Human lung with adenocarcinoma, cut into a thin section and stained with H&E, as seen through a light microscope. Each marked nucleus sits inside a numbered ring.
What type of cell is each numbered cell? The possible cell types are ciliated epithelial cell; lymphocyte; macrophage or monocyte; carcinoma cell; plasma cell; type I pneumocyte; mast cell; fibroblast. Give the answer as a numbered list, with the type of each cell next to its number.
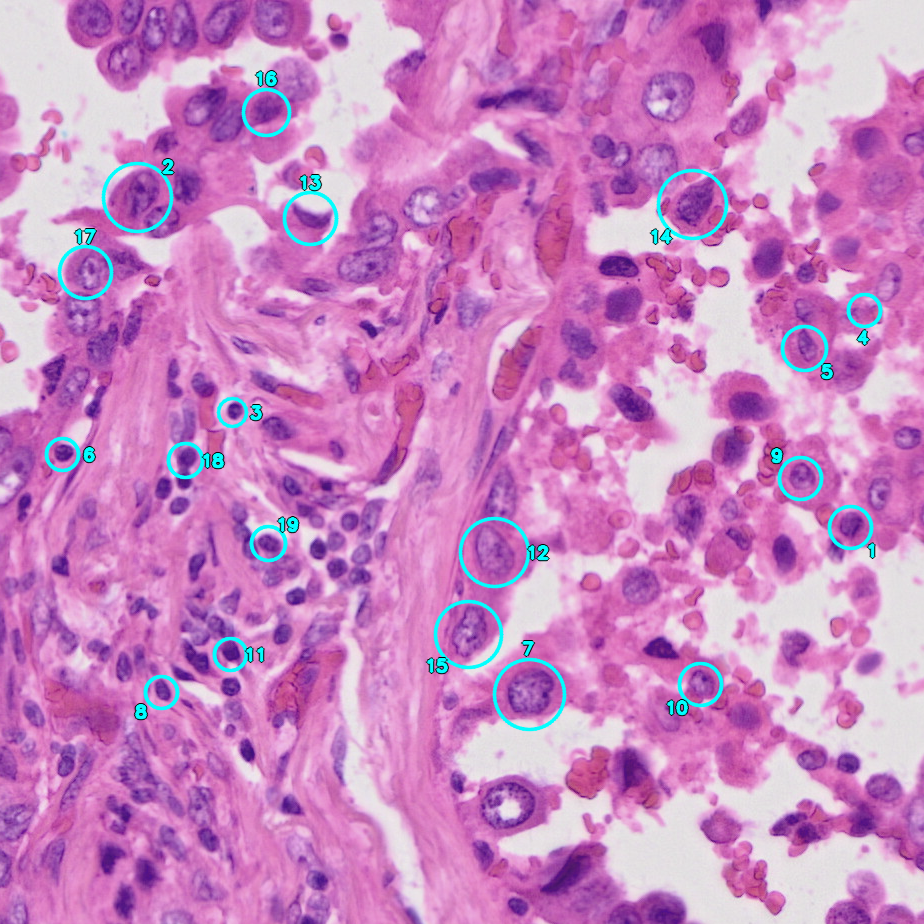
1. macrophage or monocyte
2. carcinoma cell
3. lymphocyte
4. macrophage or monocyte
5. macrophage or monocyte
6. lymphocyte
7. carcinoma cell
8. lymphocyte
9. macrophage or monocyte
10. macrophage or monocyte
11. lymphocyte
12. carcinoma cell
13. carcinoma cell
14. carcinoma cell
15. carcinoma cell
16. carcinoma cell
17. carcinoma cell
18. lymphocyte
19. lymphocyte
